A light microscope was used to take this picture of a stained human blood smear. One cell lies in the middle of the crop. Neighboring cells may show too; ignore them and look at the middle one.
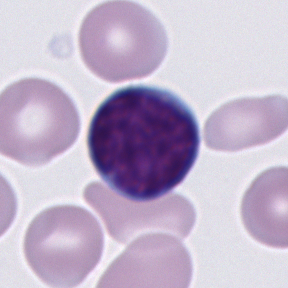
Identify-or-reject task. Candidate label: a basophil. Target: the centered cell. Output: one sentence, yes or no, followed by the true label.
No, instead of a basophil, the centred cell represents a lymphocyte.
